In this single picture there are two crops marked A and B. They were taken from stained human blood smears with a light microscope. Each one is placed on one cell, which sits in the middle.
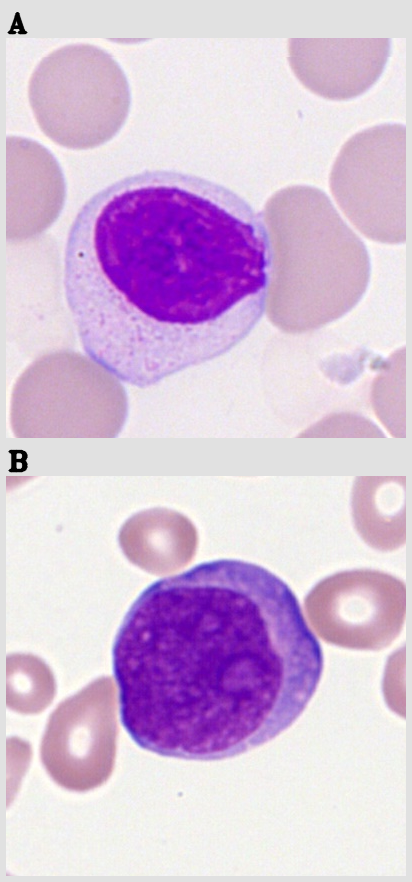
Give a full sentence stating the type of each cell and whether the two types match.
No, the central cell of crop A is a lymphocyte; that of crop B is a myeloblast.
